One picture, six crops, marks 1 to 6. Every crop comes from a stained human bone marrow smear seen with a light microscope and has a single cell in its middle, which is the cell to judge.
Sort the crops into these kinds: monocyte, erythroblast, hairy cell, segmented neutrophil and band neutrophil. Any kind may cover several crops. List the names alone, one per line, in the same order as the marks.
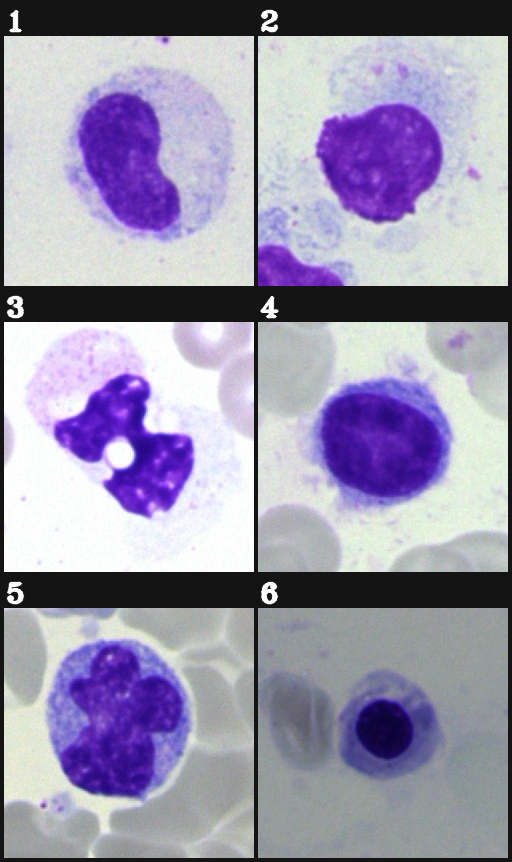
band neutrophil
hairy cell
segmented neutrophil
hairy cell
monocyte
erythroblast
